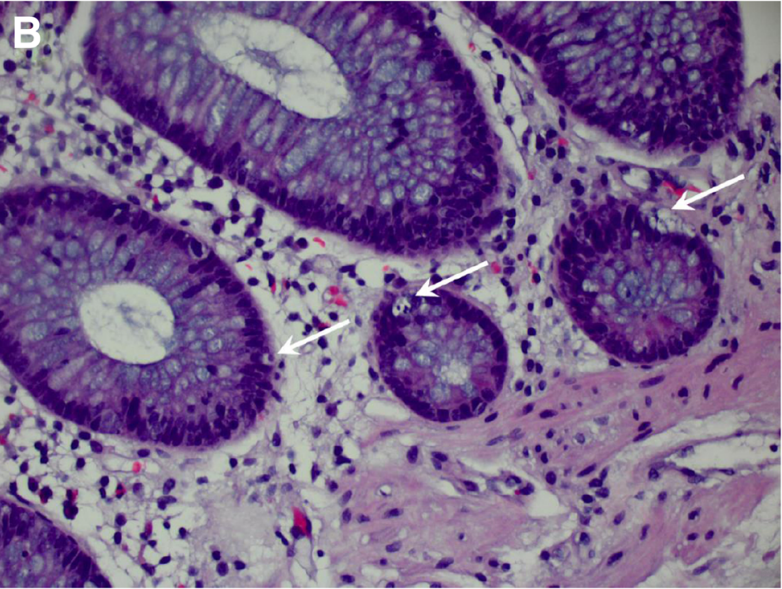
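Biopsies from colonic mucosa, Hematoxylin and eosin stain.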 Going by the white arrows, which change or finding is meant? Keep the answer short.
Apoptosis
